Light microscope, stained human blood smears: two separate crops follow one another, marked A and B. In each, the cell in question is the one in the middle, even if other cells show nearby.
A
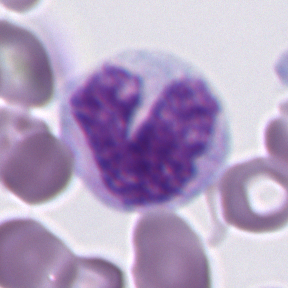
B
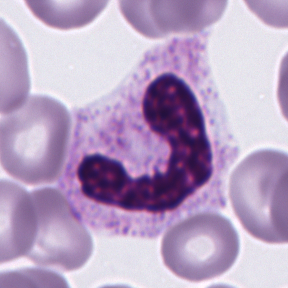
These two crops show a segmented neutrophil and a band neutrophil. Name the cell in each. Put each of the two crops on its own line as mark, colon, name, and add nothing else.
A: band neutrophil
B: segmented neutrophil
